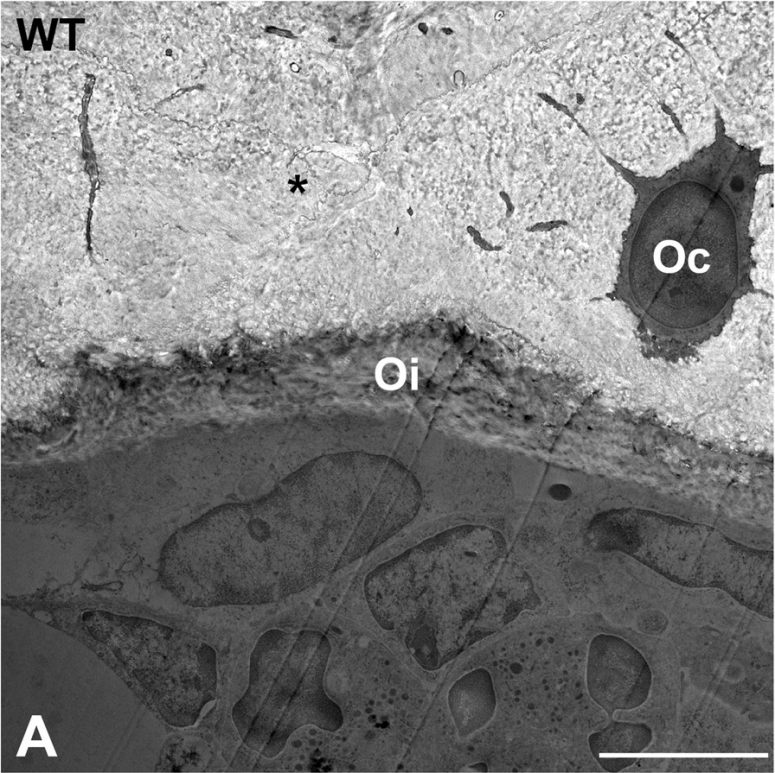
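This electron micrograph shows a bone-forming surface. The upper part is pale, finely textured bone matrix. One dark cell with an oval nucleus lies embedded in this matrix, and short dark cytoplasmic processes extend from it into the surroundings. Below the matrix runs a band of darker, fibrous-looking material that separates the matrix from the cells beneath. Under this band lies a closely packed layer of cells with large, irregularly shaped nuclei and fairly uniform grey cytoplasm. The cytoplasm contains scattered small round dark granules or vesicles.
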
